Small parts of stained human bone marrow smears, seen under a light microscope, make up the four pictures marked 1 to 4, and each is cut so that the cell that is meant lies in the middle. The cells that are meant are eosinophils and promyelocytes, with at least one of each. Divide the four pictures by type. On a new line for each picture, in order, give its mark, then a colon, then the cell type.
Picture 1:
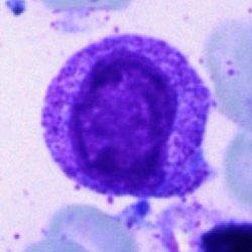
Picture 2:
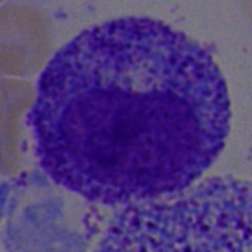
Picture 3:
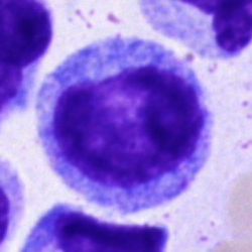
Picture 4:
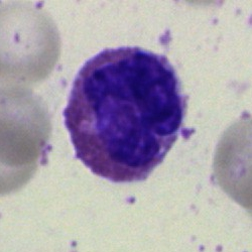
1: promyelocyte
2: promyelocyte
3: promyelocyte
4: eosinophil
